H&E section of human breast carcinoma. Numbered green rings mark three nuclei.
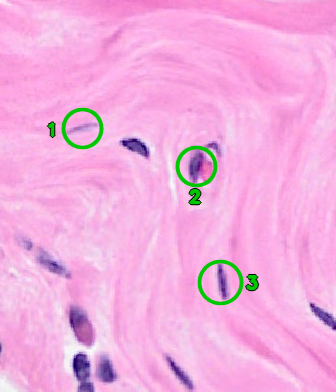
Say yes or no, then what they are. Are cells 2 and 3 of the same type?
No, cell 2 is an endothelial cell and cell 3 is a fibroblast.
